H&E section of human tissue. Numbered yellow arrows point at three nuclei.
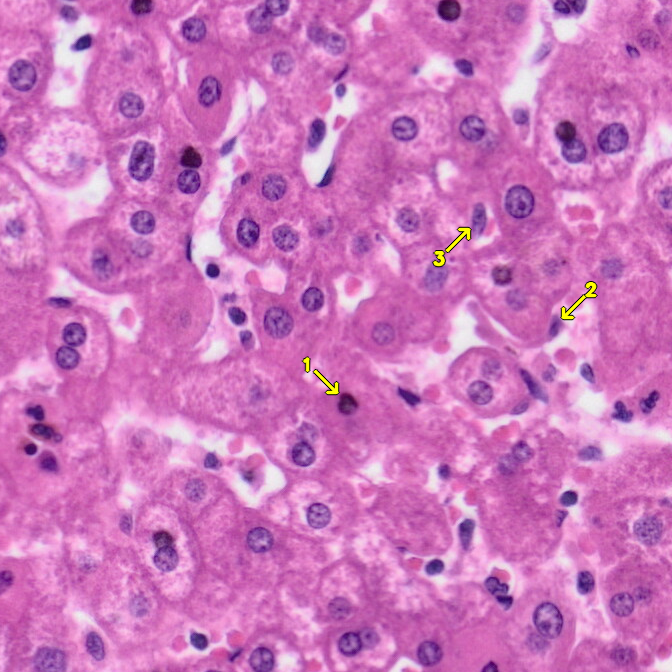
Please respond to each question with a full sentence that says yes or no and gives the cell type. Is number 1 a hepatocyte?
Yes, the cell tagged with number 1 is a hepatocyte.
